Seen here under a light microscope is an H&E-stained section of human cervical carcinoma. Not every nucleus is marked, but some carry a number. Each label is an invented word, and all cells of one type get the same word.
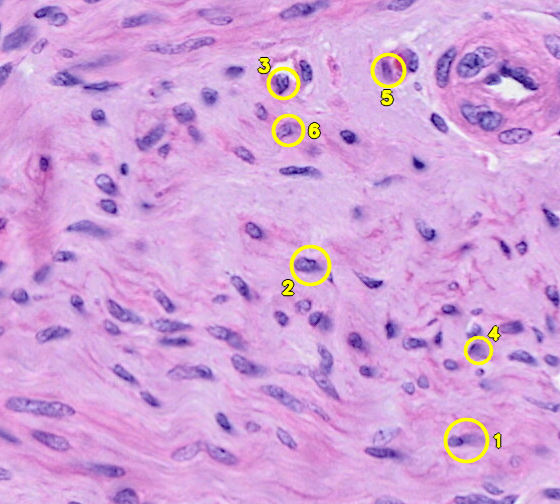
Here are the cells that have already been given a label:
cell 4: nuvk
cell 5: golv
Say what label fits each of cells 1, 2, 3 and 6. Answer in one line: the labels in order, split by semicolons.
nuvk; nuvk; golv; nuvk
